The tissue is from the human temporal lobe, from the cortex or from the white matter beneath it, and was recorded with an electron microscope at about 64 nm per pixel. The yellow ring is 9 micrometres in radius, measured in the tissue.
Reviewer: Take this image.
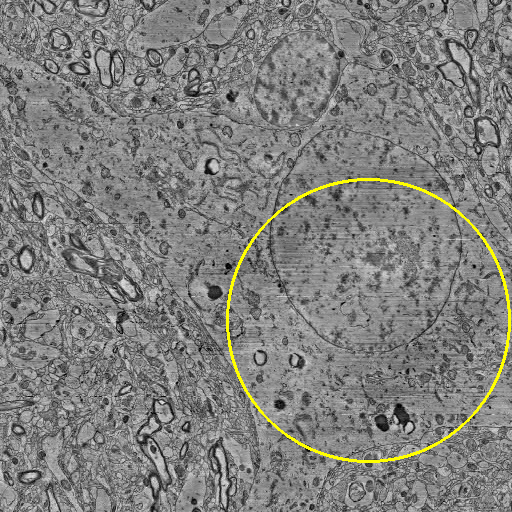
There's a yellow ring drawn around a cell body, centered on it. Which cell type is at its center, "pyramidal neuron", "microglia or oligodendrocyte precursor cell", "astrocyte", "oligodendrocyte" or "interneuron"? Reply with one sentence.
At the center of the yellow ring is a pyramidal neuron.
